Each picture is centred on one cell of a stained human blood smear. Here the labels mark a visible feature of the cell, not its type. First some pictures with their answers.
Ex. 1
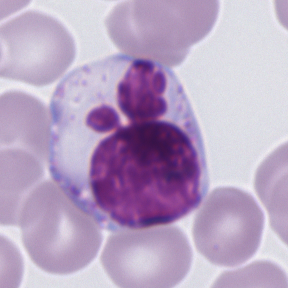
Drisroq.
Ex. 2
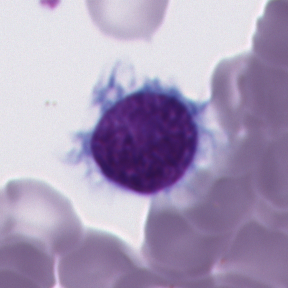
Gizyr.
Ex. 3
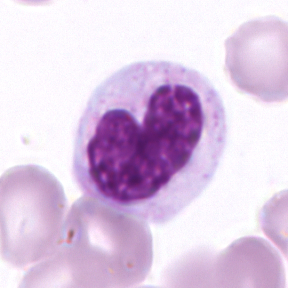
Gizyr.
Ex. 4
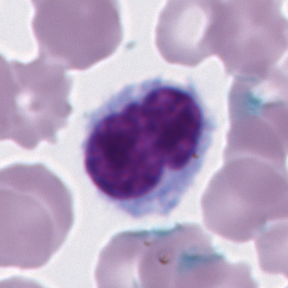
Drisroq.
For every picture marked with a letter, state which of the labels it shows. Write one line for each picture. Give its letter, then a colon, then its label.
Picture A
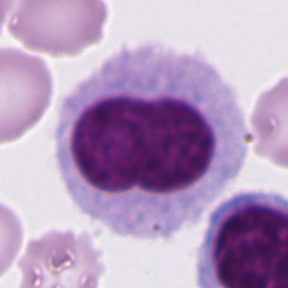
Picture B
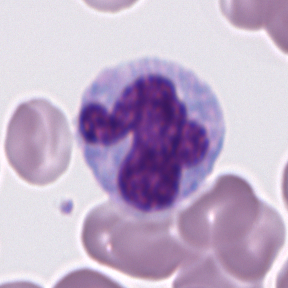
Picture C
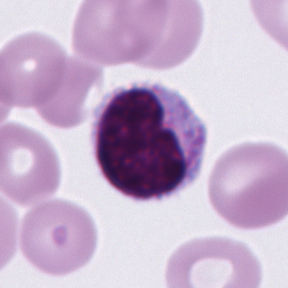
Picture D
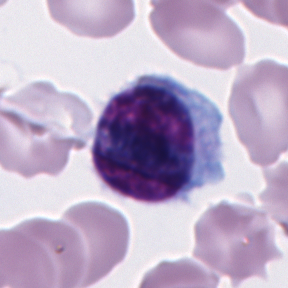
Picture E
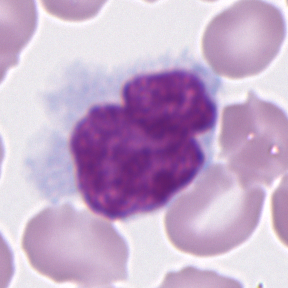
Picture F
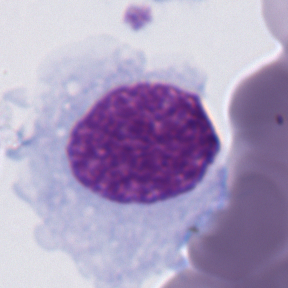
A: Drisroq.
B: Drisroq.
C: Gizyr.
D: Gizyr.
E: Drisroq.
F: Gizyr.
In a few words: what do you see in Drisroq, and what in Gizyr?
Drisroq, lobed nucleus; Gizyr, single compact nucleus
